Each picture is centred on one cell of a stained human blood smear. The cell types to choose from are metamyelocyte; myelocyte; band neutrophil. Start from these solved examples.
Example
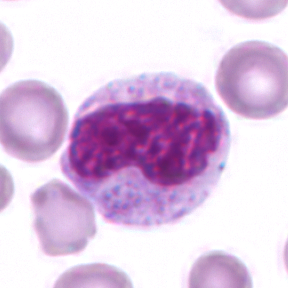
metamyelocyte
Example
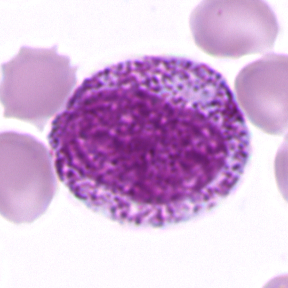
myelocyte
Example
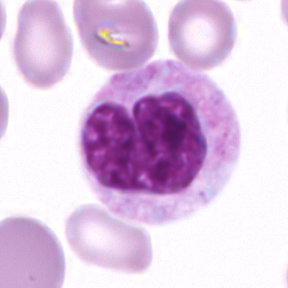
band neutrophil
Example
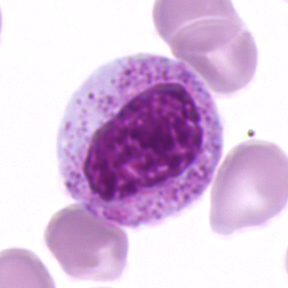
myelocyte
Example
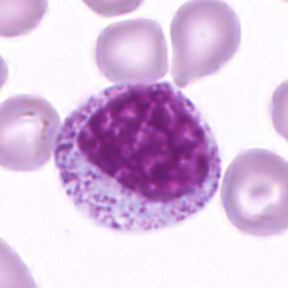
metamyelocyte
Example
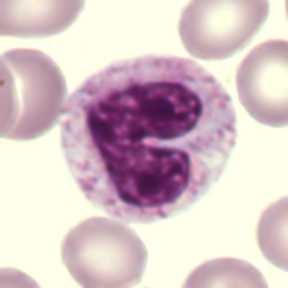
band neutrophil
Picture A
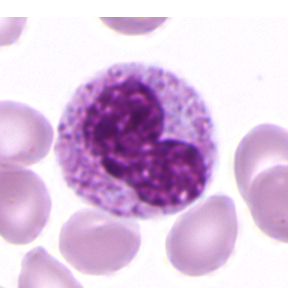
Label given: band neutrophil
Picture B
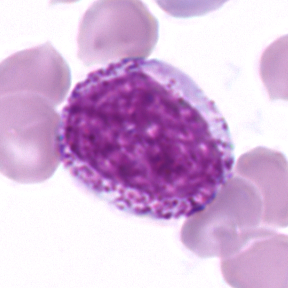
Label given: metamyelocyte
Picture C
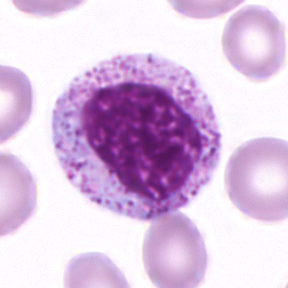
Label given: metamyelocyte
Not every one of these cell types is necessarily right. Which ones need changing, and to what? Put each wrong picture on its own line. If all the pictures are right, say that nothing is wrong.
Wrong: B (metamyelocyte); correct: myelocyte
